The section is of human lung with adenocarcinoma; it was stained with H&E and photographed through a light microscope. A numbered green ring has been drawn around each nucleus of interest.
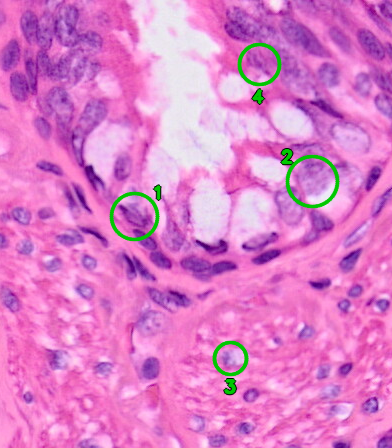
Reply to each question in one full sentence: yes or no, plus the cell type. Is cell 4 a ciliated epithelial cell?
Yes, the marked cell number 4 is a ciliated epithelial cell.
